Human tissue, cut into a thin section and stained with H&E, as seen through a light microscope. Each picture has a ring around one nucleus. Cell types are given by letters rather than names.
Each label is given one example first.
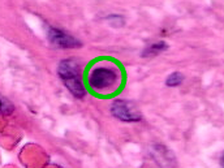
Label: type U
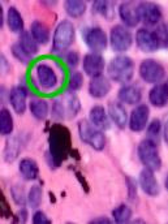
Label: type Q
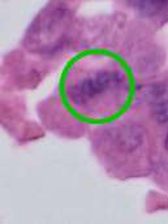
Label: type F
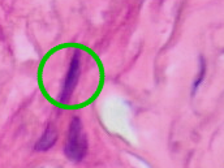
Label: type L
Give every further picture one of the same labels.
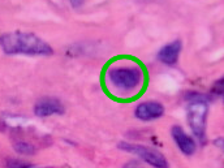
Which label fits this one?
type U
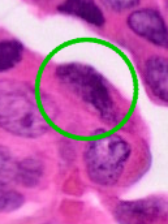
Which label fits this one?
type F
